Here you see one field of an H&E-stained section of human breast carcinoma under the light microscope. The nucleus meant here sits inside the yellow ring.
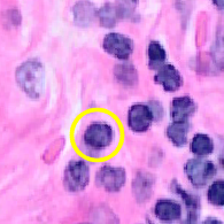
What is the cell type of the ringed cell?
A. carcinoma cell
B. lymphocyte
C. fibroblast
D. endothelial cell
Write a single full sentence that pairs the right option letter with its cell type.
Option B, which has the ringed cell as a lymphocyte, is the correct choice.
